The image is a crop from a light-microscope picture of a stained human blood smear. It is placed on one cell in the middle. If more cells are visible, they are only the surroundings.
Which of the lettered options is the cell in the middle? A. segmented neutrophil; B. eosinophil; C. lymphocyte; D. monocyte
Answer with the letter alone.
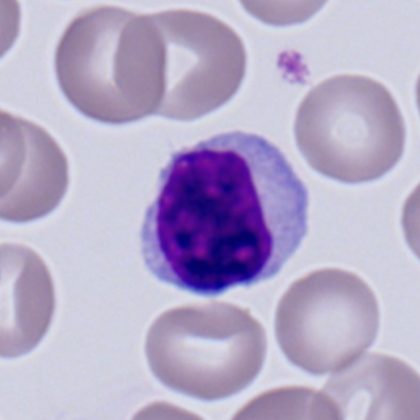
C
